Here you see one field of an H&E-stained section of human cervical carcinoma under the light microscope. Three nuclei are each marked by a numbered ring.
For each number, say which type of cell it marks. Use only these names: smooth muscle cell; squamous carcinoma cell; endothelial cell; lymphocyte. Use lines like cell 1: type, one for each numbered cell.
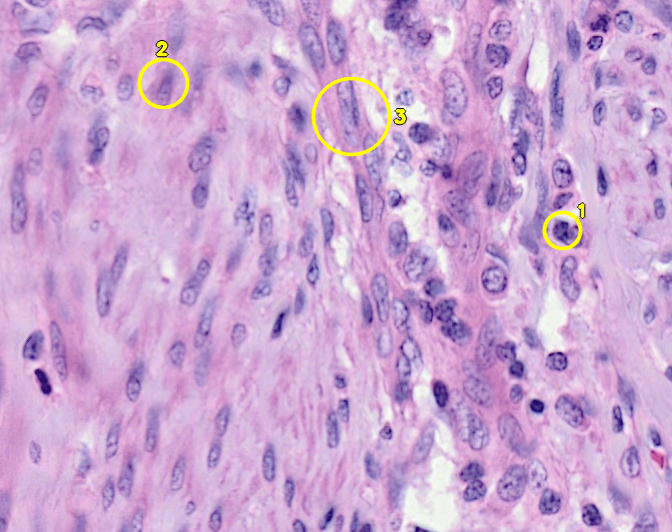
cell 1: lymphocyte
cell 2: smooth muscle cell
cell 3: endothelial cell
